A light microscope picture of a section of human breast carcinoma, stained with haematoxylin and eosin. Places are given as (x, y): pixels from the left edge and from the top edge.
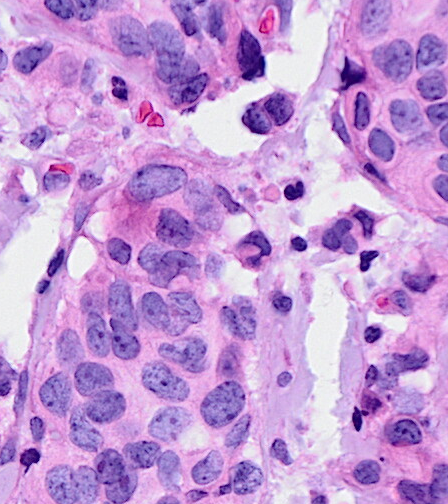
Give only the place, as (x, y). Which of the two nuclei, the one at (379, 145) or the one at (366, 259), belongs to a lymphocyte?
(366, 259)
